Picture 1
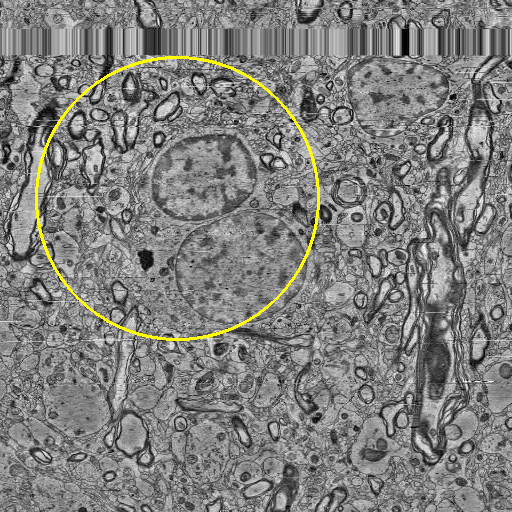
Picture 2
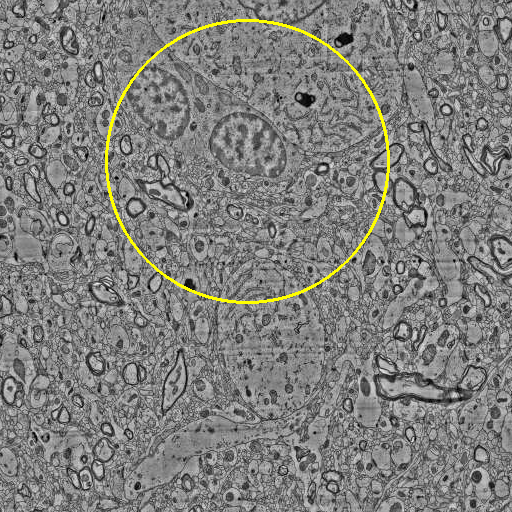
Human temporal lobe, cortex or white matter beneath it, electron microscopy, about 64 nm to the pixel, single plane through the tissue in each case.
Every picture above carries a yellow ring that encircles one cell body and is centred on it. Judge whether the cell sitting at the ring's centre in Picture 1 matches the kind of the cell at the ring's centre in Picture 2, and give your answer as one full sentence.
No, the cells centred in the rings of Pictures 1 and 2 belong to two kinds.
